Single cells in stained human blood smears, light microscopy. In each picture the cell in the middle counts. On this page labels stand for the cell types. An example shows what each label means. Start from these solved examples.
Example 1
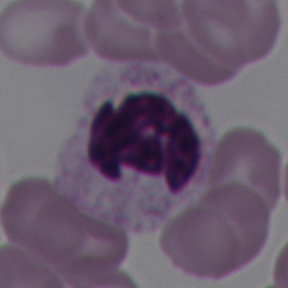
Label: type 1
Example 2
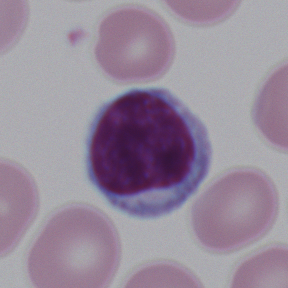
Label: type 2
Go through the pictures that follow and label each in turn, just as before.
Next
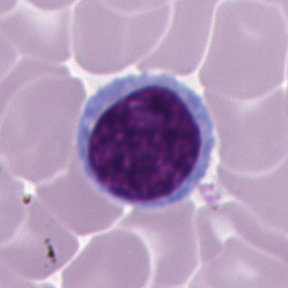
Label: type 2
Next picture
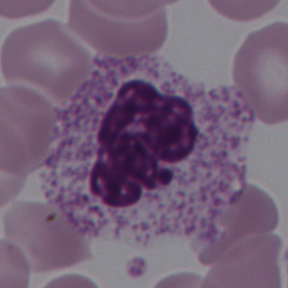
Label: type 1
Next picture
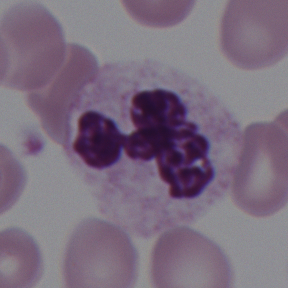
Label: type 1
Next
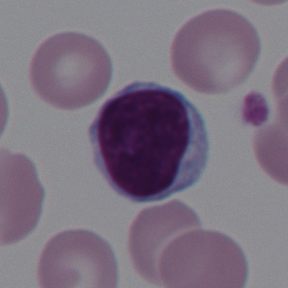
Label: type 2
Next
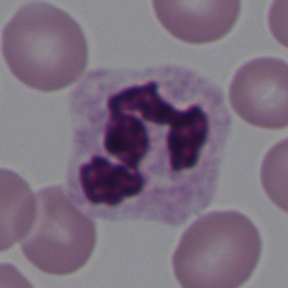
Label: type 1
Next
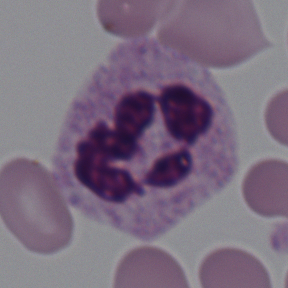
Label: type 1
